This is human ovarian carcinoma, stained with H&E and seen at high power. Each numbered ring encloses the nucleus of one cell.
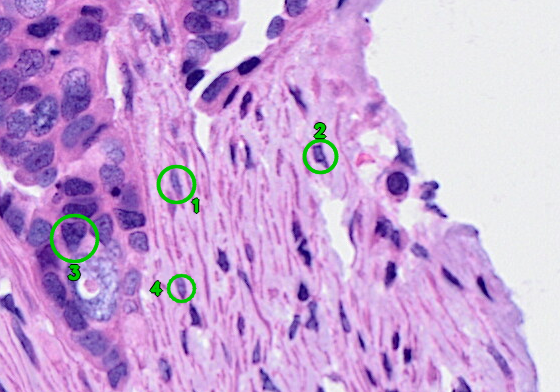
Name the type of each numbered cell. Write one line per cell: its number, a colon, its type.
1: fibroblast
2: fibroblast
3: carcinoma cell
4: fibroblast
